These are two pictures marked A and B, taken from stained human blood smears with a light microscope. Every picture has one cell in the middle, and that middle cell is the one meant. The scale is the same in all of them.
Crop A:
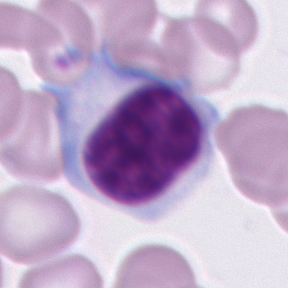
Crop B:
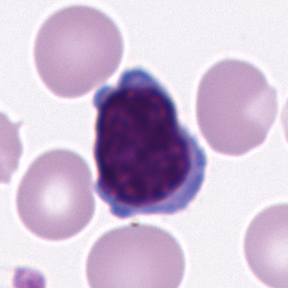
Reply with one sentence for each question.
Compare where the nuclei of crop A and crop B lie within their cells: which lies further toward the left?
It is the nucleus in crop B that lies further toward the left of its cell.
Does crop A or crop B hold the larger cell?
The cell in crop A is larger, with about 1.5 times the area of the one in crop B.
